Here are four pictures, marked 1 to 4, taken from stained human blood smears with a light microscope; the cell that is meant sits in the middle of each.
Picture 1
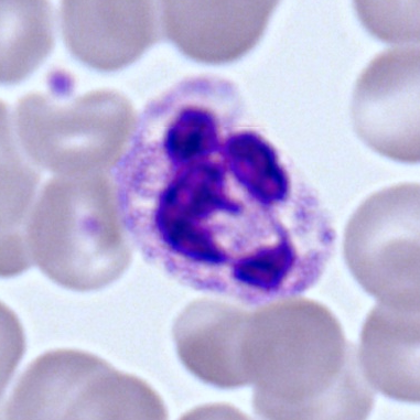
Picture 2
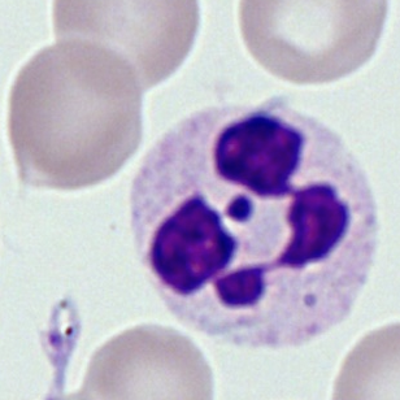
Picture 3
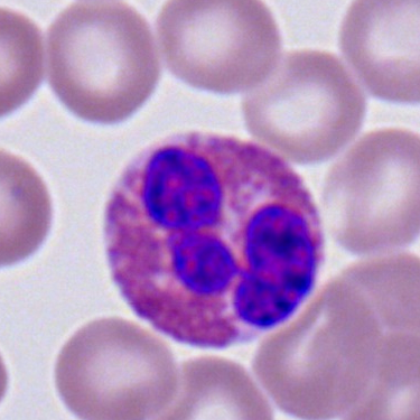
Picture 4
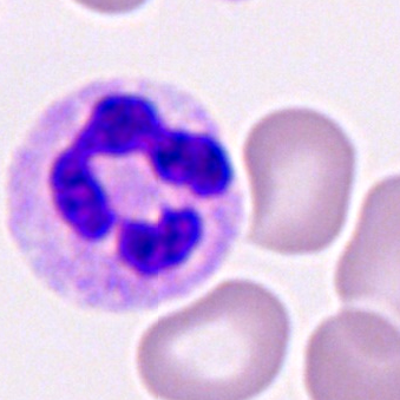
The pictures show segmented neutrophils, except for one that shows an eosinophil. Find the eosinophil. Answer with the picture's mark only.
3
